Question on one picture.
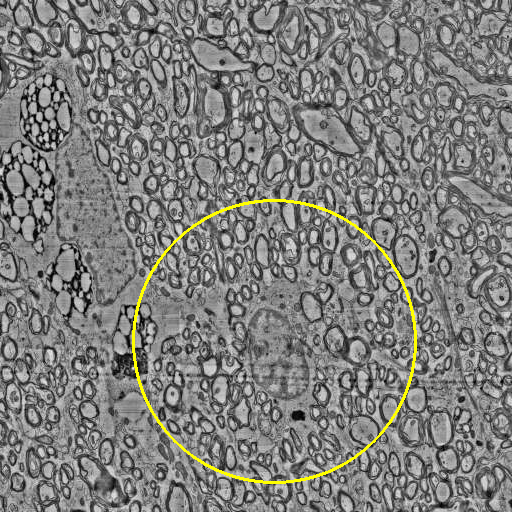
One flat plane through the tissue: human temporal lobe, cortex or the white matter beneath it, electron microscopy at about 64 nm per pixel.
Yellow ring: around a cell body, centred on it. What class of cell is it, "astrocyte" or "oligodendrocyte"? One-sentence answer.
This is an oligodendrocyte, the cell the ring is centred on.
